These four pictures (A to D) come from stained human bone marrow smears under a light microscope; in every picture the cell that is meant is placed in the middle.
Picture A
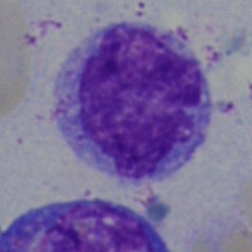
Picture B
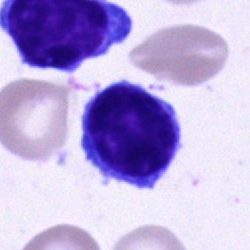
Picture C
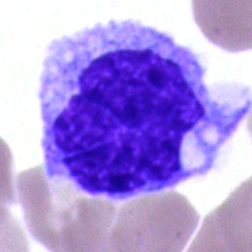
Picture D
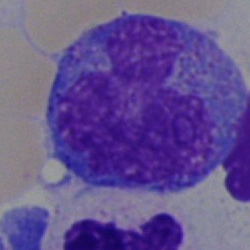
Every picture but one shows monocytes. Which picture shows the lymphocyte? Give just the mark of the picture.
B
